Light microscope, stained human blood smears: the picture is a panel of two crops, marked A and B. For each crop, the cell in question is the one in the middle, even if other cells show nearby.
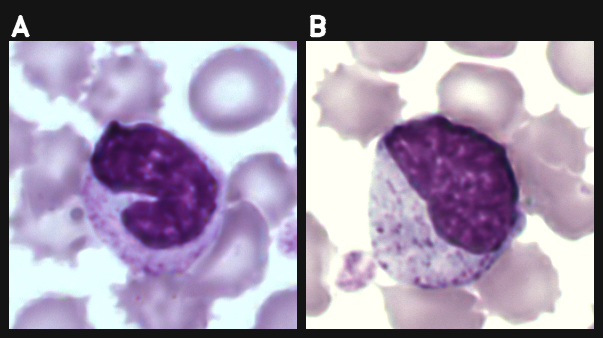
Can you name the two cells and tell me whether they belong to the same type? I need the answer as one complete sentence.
No, the cell at the middle of crop A is a band neutrophil, while crop B centres on a metamyelocyte.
